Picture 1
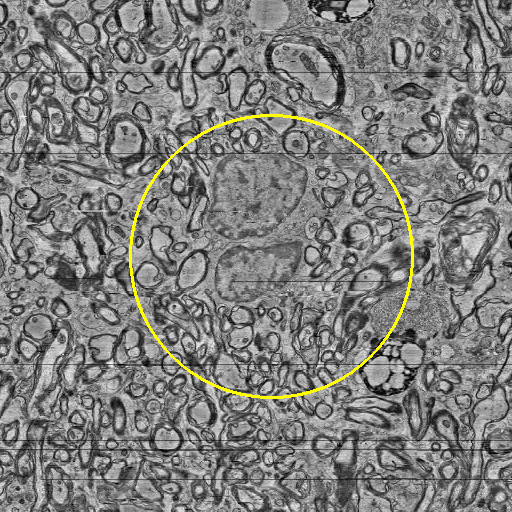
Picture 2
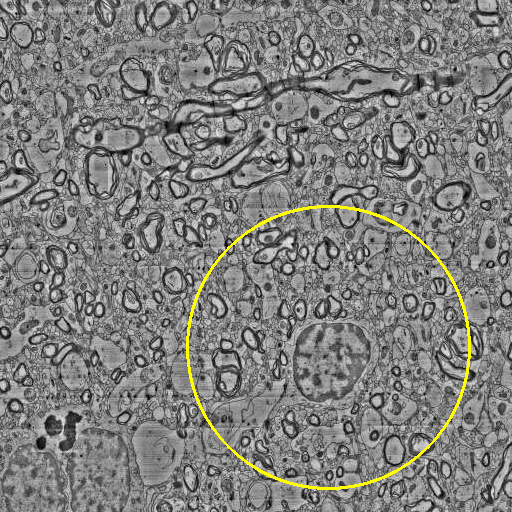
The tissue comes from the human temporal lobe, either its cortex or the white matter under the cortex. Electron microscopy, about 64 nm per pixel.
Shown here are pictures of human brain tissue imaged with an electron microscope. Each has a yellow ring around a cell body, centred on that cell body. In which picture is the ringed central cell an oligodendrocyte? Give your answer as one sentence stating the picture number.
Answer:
My answer is picture 1, where the ringed cell at the centre is the one sought.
